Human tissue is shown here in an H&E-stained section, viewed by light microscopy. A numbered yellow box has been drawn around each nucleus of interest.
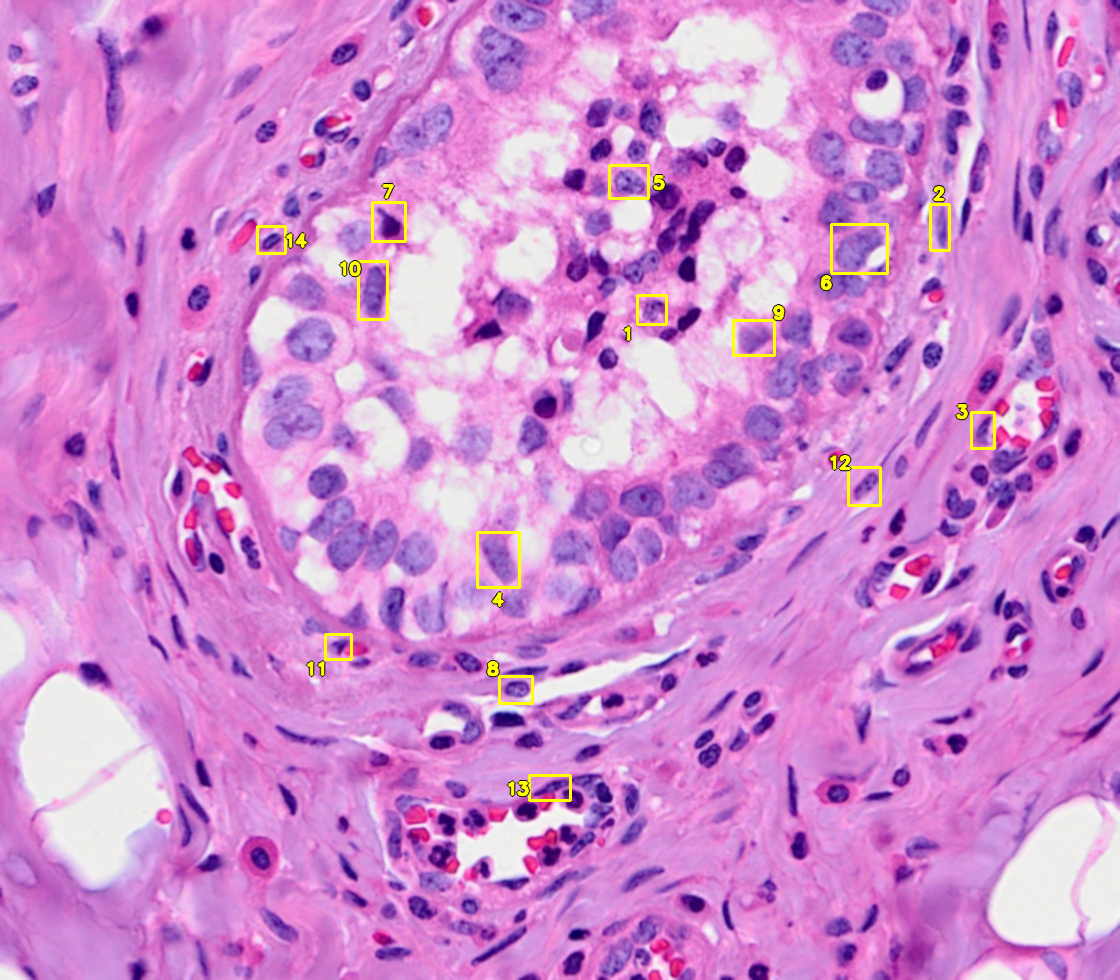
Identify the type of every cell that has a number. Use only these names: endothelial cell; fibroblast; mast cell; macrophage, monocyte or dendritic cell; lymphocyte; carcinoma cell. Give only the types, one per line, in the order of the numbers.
macrophage, monocyte or dendritic cell
fibroblast
endothelial cell
carcinoma cell
macrophage, monocyte or dendritic cell
carcinoma cell
carcinoma cell
macrophage, monocyte or dendritic cell
carcinoma cell
carcinoma cell
endothelial cell
mast cell
endothelial cell
endothelial cell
